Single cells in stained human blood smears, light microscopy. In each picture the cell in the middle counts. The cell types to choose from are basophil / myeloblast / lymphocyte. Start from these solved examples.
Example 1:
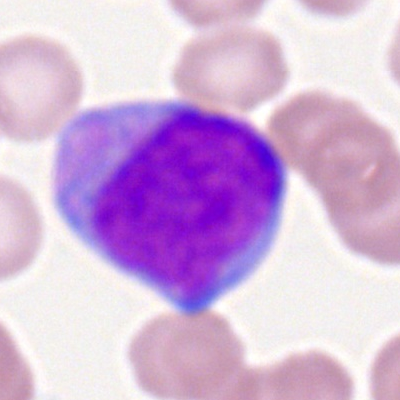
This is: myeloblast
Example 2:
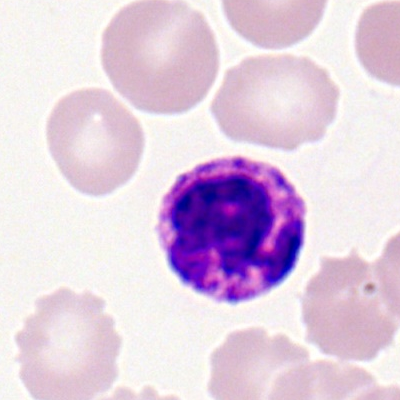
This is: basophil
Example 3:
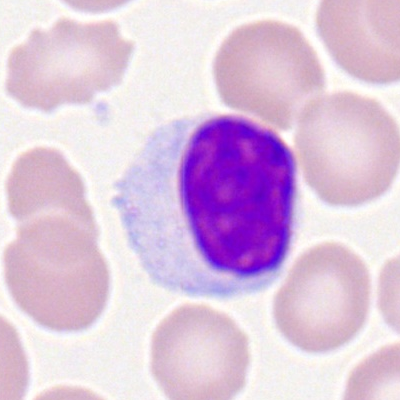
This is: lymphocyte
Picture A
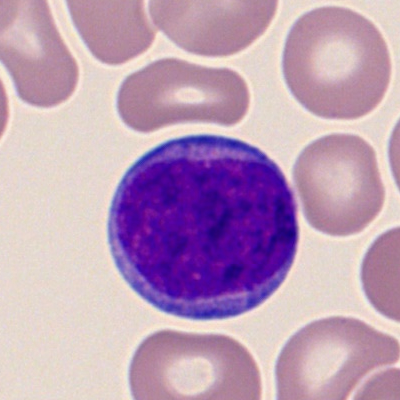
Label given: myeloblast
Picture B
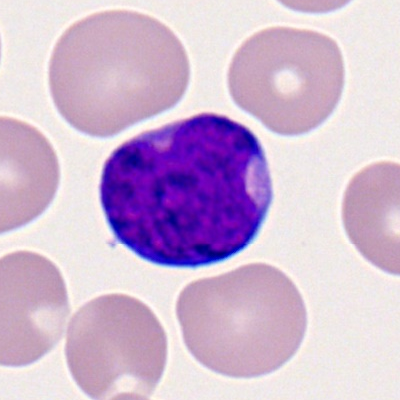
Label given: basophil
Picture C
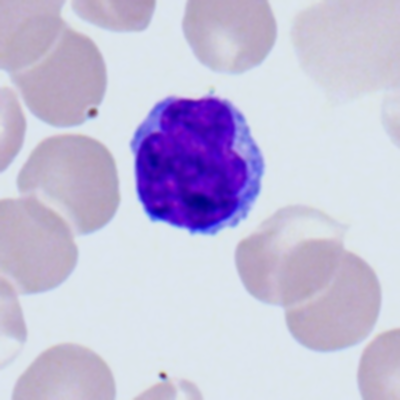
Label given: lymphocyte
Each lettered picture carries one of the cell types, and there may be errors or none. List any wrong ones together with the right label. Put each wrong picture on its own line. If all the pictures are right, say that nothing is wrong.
B: myeloblast, not basophil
